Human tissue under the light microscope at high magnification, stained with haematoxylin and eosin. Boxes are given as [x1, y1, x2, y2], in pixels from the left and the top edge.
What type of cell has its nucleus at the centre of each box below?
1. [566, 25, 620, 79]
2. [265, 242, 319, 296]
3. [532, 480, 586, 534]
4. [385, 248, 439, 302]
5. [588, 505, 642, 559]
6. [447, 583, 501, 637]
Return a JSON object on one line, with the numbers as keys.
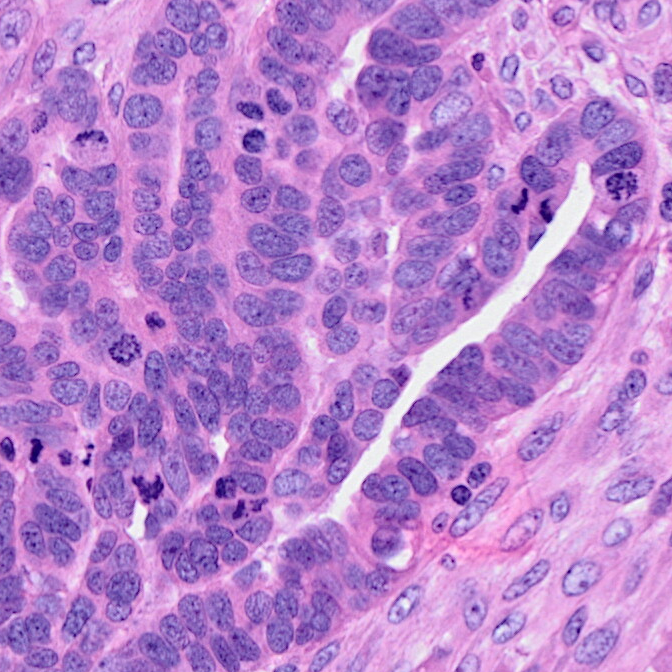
{"1": "fibroblast", "2": "carcinoma cell", "3": "fibroblast", "4": "carcinoma cell", "5": "fibroblast", "6": "fibroblast"}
